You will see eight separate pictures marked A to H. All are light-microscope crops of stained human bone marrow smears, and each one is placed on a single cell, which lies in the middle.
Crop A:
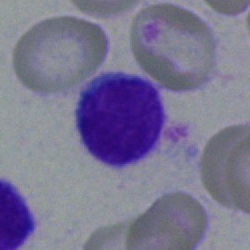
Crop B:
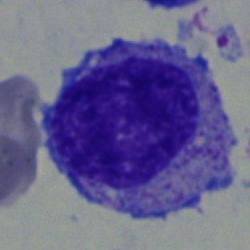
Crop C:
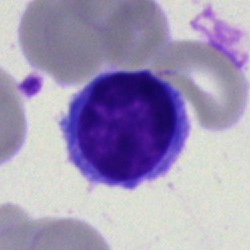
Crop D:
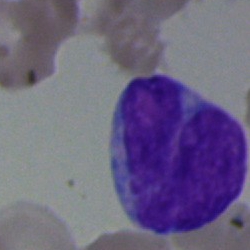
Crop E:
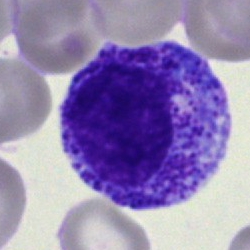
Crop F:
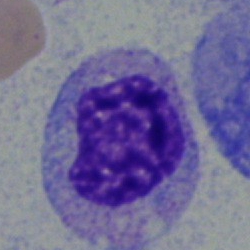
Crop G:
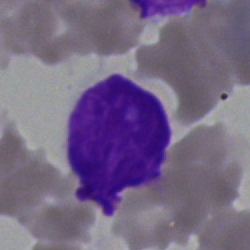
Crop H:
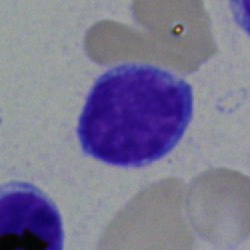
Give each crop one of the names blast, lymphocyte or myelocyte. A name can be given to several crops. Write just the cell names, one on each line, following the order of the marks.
lymphocyte
myelocyte
lymphocyte
blast
myelocyte
myelocyte
lymphocyte
lymphocyte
